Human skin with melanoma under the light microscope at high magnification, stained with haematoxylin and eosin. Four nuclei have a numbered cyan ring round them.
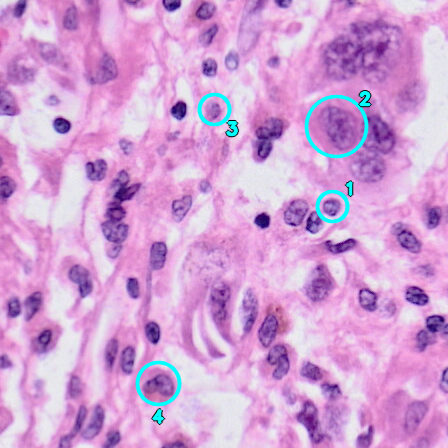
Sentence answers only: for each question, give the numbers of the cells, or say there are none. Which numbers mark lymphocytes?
Cell 1 is the single numbered cell that is a lymphocyte.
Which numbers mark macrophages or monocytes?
The cells carrying the numbers 3 and 4 are macrophages or monocytes.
